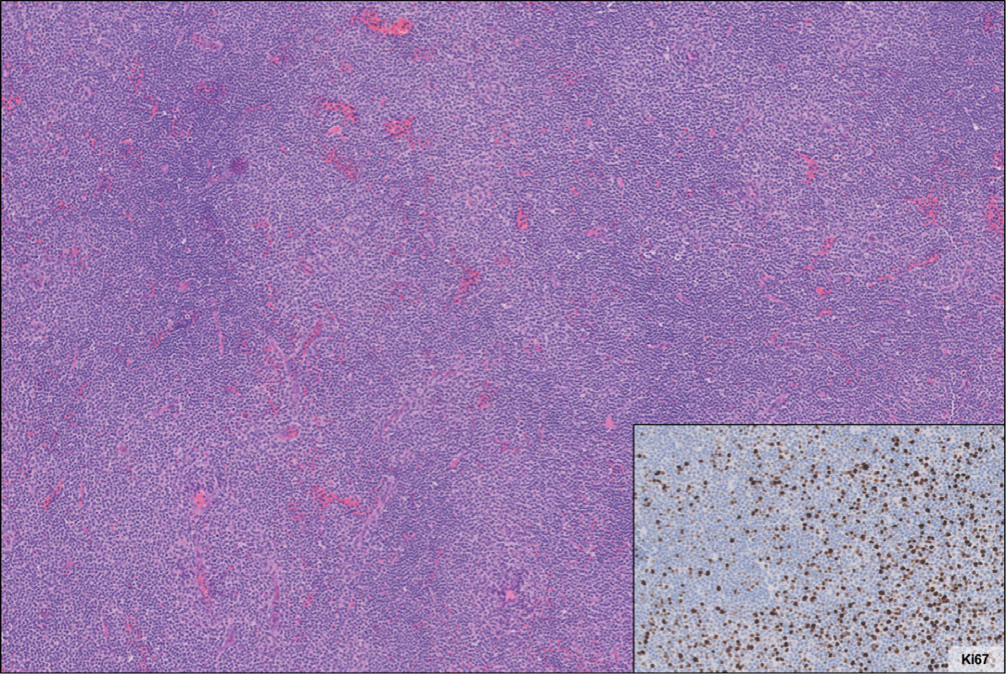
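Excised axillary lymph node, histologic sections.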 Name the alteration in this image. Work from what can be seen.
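Effacement of normal architecture. The node is filled by a continuous sheet of lymphoid cells. No distinct follicles or sinuses can be made out.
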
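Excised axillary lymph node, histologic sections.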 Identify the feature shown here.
Proliferation centers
